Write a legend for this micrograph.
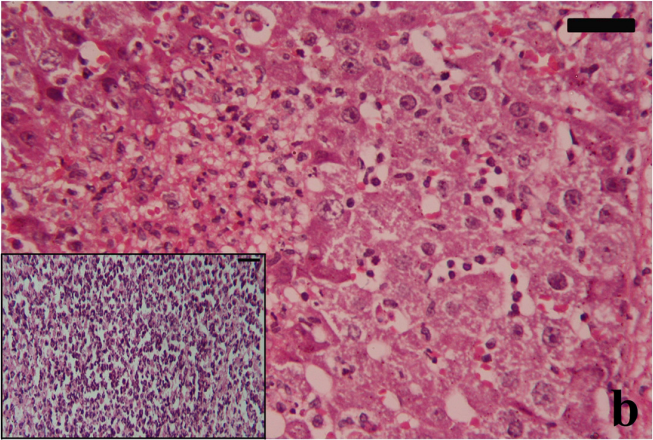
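This is liver tissue in which the regular plates of hepatocytes are lost. In the upper left, an area of pale, frothy, disintegrating cytoplasm contains scattered small dark nuclei and red blood cells. This fits focal necrosis with inflammatory cells. Elsewhere, the hepatocytes are swollen and pale, with clear spaces in their cytoplasm. Some nuclei are faint, and the sinusoids appear widened. A framed inset at lower magnification shows a dense sheet of small, dark purple nuclei, which is an inflammatory infiltrate. Overall the picture is one of degeneration, vacuolation of the cytoplasm and necrosis.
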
